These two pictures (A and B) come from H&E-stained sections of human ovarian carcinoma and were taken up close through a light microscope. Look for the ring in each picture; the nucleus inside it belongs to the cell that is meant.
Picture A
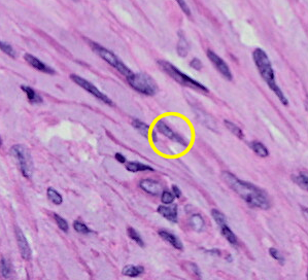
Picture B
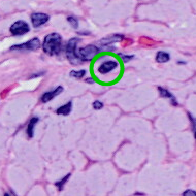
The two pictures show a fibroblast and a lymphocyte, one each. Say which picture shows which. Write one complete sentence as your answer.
Picture A shows a fibroblast and picture B shows a lymphocyte.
